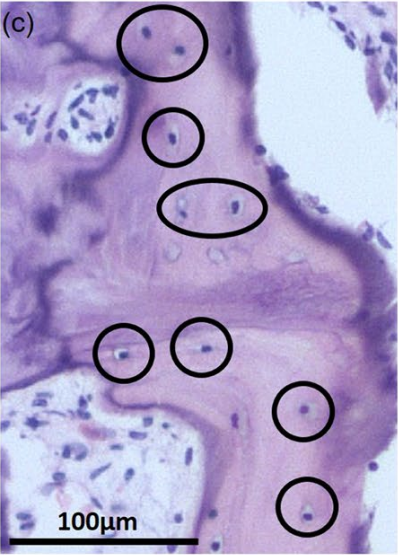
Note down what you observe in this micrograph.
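This is bone with osteocytes lying singly in small lacunae within a dense pink matrix. The osteocytes have small dark nuclei and sit scattered through the matrix of the bony bar. Along the bone's outer surface runs a darker purple rim. Beside the bone lie marrow spaces holding loosely arranged cells with oval and spindle-shaped purple nuclei. The bone forms a branching strut separating these spaces.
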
